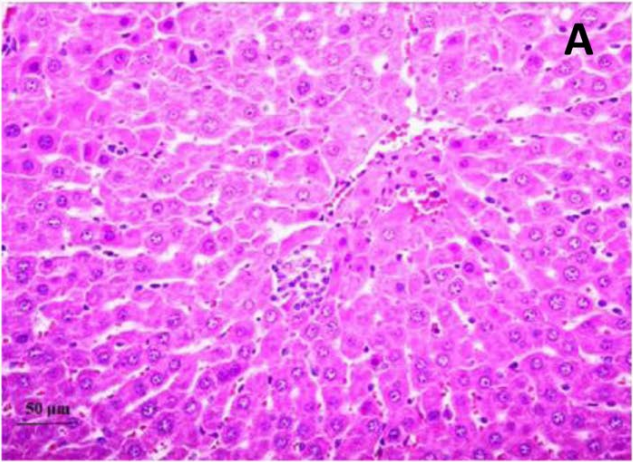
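Liver tissue made of plates of hepatocytes, which run outward from a central small vessel. The hepatocytes are large and polygonal. Their cytoplasm is evenly pink. Each has a round, centrally placed purple nucleus with a distinct nucleolus, and a few cells hold two nuclei. Narrow clear sinusoids separate the cords. The sinusoids are lined by flattened cells with small dark nuclei. Near the vessel lies a small cluster of small, dark, round nuclei. The cytoplasm shows no clear vacuoles, and the radiating arrangement of the cords is orderly.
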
